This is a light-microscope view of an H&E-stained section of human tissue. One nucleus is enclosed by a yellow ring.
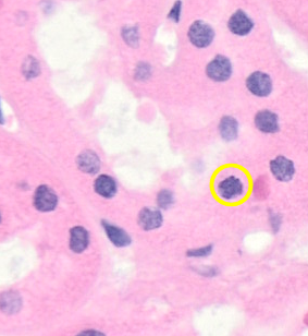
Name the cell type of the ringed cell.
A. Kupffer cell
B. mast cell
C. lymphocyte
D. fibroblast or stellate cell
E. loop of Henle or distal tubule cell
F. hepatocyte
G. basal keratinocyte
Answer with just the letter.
E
